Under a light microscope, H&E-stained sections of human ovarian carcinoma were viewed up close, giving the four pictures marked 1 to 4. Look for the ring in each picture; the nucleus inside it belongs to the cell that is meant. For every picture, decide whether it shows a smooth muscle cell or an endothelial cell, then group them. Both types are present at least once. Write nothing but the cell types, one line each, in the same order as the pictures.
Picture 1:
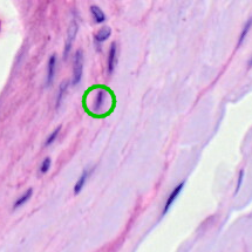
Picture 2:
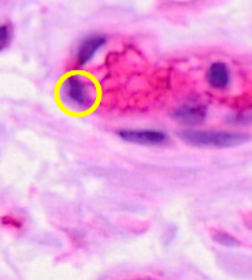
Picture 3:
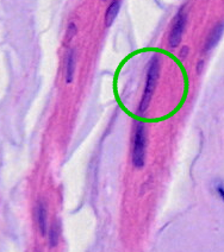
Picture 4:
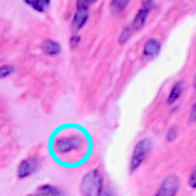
smooth muscle cell
endothelial cell
smooth muscle cell
smooth muscle cell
